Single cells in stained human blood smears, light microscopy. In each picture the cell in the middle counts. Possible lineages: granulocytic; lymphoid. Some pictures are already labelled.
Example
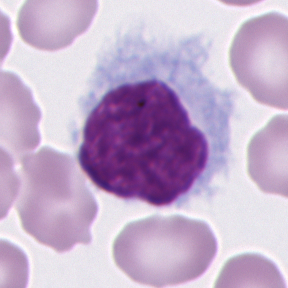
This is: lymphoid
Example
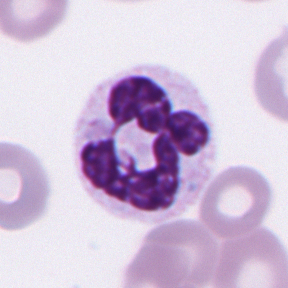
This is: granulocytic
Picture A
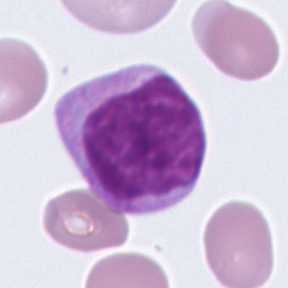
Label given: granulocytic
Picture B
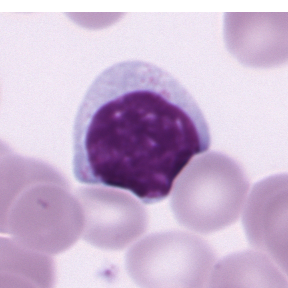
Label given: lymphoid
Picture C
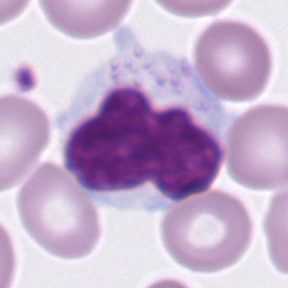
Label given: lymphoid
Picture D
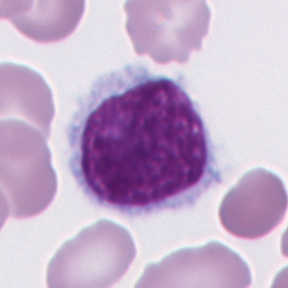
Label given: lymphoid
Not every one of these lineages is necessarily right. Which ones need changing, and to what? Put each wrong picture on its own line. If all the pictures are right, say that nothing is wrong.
None of the labels needs changing.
